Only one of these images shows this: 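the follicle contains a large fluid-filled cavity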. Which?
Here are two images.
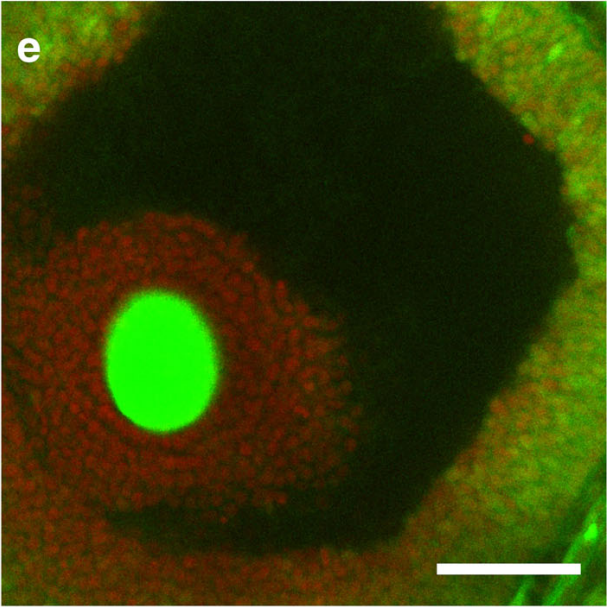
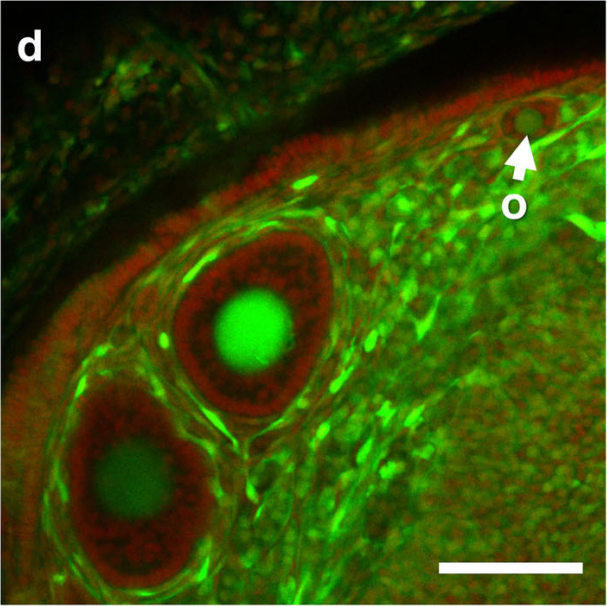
The first image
